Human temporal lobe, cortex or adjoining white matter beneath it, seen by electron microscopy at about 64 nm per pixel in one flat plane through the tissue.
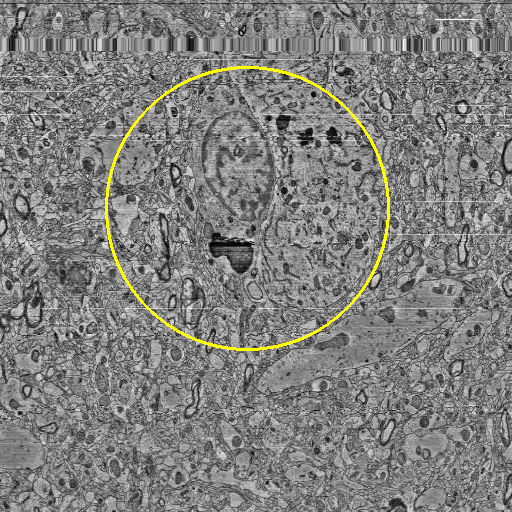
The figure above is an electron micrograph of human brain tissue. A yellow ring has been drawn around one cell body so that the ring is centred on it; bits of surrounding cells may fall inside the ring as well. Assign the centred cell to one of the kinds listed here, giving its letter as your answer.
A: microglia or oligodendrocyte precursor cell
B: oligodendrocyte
B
